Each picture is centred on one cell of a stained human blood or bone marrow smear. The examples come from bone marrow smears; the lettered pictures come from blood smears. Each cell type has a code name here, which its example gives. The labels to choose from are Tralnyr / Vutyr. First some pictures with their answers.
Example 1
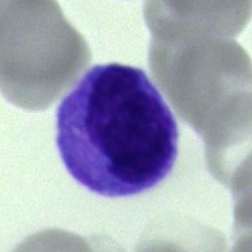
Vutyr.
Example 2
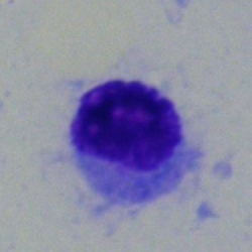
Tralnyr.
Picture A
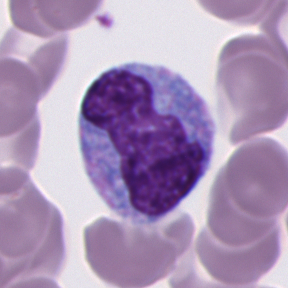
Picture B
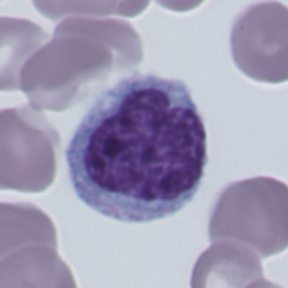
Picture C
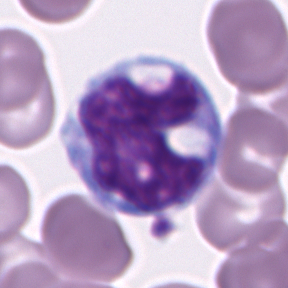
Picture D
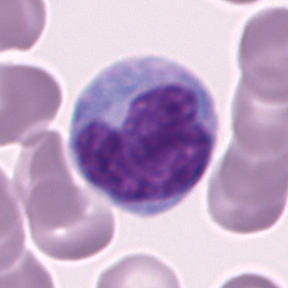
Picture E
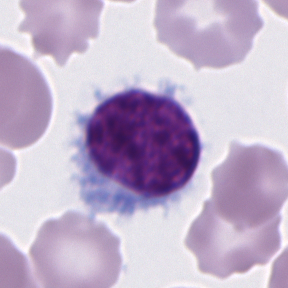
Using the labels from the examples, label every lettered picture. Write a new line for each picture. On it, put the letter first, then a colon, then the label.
A: Vutyr.
B: Vutyr.
C: Vutyr.
D: Vutyr.
E: Tralnyr.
